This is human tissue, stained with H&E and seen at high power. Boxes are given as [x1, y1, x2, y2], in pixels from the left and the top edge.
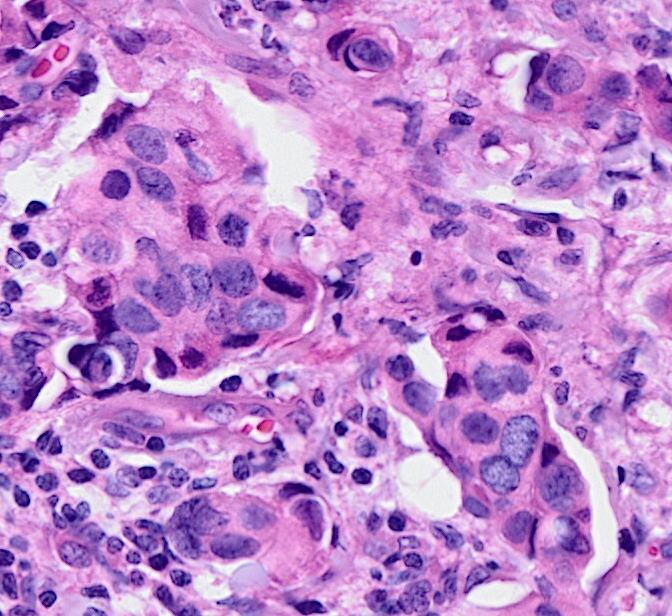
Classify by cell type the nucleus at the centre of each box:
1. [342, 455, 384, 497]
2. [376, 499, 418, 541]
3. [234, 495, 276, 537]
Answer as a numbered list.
1. lymphocyte
2. lymphocyte
3. carcinoma cell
